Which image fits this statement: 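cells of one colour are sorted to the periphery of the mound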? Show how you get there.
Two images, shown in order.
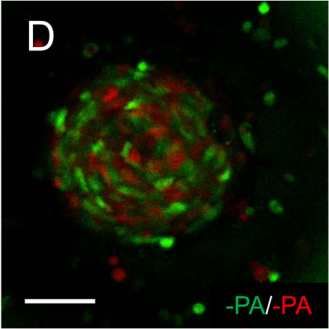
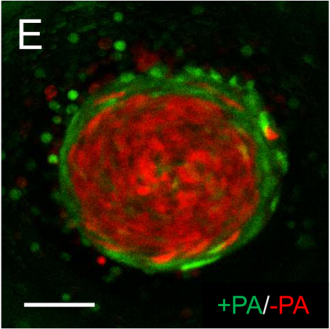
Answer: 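The second image. Second image: green cells form a rim around a core of red cells. First image: red and green cells are mixed throughout the mound.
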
